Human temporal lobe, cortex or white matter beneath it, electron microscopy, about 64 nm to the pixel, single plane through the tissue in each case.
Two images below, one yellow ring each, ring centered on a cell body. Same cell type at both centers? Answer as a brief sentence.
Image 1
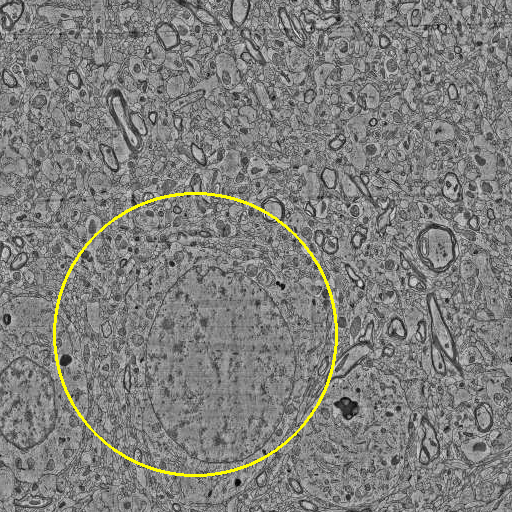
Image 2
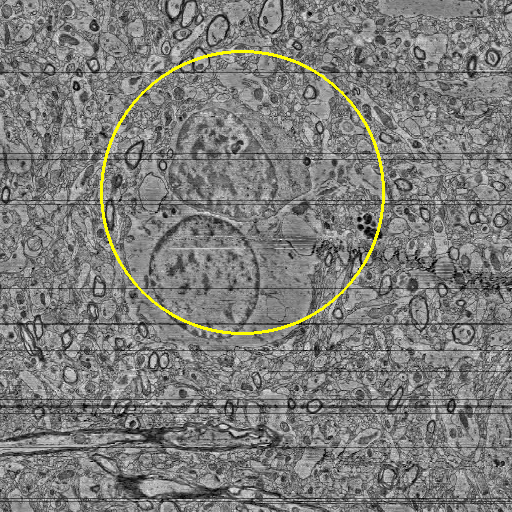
No, the cells are of two separate types.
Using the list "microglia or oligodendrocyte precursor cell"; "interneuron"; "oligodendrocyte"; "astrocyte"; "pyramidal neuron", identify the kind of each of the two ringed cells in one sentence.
The first is a pyramidal neuron and the second is an oligodendrocyte.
